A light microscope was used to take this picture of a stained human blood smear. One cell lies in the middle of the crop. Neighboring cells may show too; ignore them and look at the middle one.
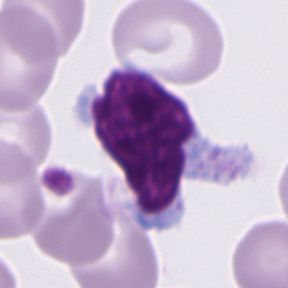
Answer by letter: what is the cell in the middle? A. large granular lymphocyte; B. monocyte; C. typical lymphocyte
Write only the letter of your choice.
A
